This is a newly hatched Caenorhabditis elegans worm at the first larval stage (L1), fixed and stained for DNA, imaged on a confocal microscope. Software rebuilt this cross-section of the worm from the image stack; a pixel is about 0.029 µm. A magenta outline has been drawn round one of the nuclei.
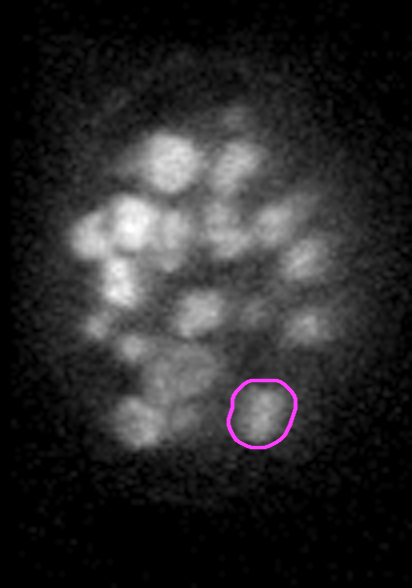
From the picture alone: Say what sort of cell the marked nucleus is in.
body wall muscle cell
